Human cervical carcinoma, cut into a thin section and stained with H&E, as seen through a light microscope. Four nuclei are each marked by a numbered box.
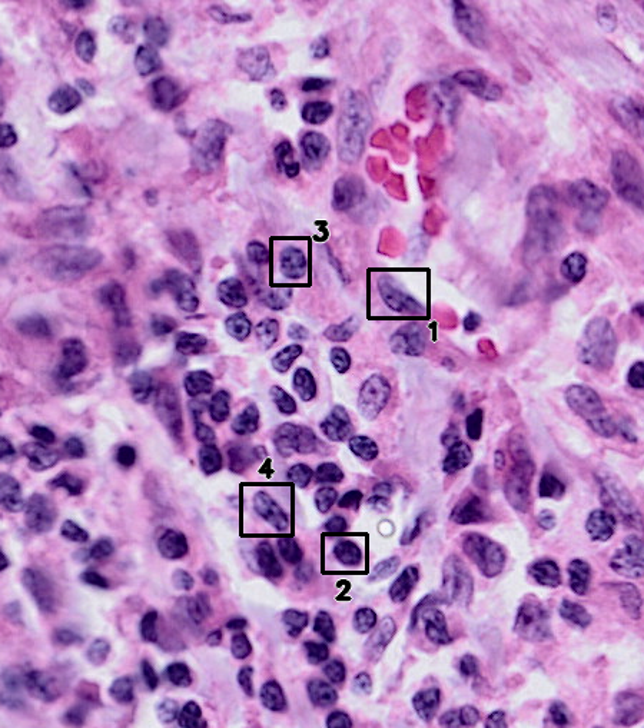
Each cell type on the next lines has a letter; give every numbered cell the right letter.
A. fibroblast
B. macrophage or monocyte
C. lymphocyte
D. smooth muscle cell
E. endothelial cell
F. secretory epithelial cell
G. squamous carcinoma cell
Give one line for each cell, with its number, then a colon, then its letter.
1: E
2: C
3: C
4: C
